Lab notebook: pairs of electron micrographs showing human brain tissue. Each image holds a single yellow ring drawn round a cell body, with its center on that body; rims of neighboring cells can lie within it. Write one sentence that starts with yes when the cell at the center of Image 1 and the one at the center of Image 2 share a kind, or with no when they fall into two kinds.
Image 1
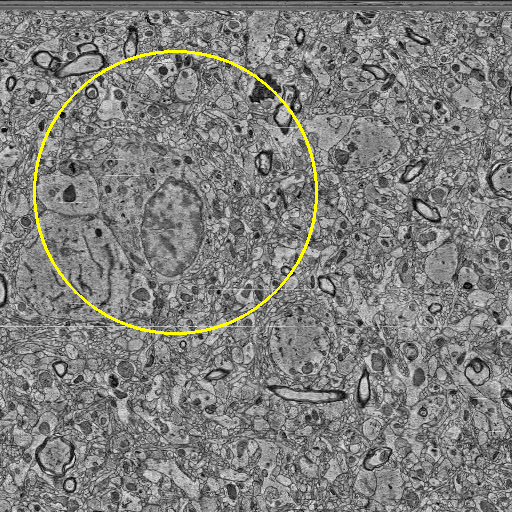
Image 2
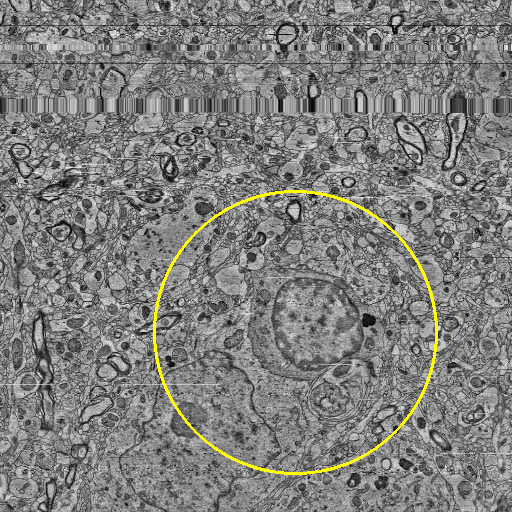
Yes, the centered cell in Image 1 and the centered cell in Image 2 are of one kind.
